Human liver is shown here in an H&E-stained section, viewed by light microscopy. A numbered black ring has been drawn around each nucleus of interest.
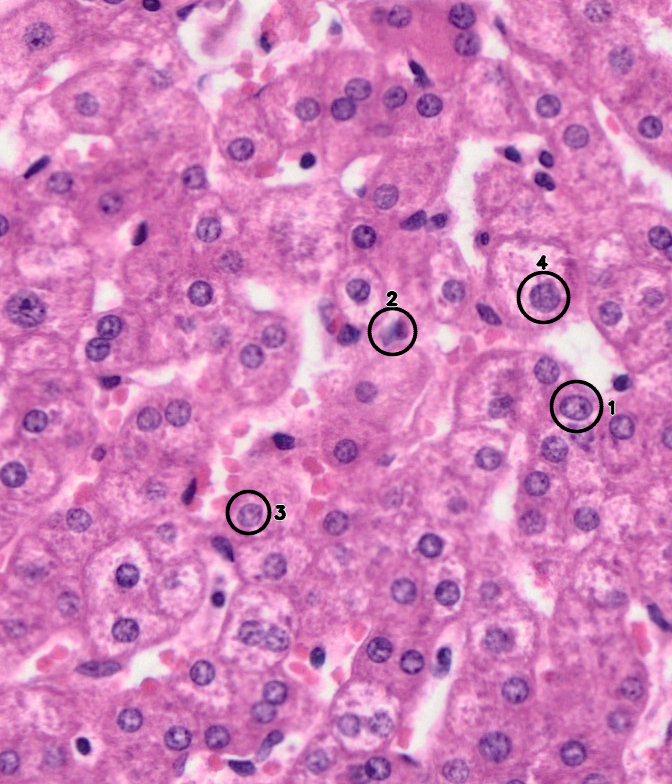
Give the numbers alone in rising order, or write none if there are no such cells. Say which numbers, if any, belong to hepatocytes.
1, 3, 4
